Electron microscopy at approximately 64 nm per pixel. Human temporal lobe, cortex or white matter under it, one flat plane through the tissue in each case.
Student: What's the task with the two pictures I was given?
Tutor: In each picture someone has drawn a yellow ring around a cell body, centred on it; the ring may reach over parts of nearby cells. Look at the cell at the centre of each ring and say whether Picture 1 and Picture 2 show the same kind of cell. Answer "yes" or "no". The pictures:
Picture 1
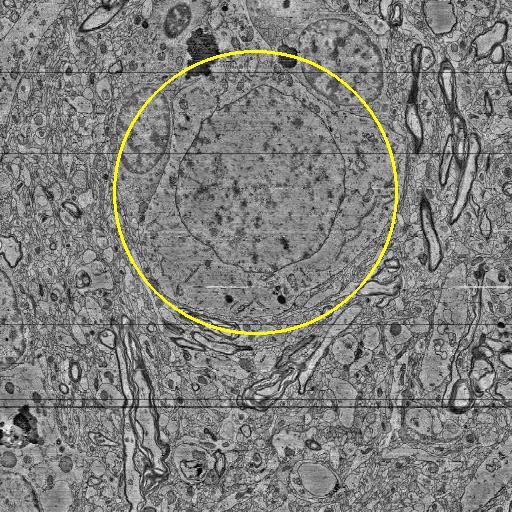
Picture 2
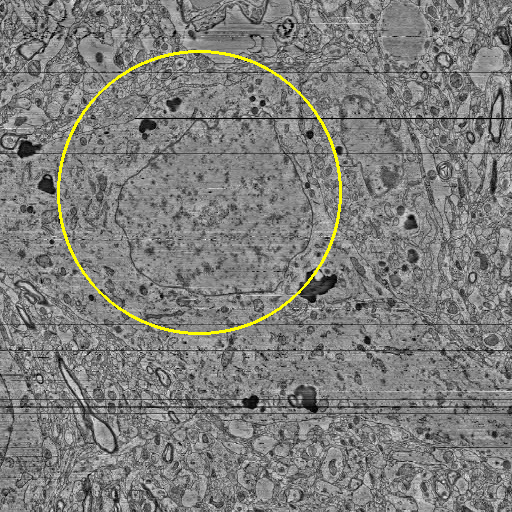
yes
